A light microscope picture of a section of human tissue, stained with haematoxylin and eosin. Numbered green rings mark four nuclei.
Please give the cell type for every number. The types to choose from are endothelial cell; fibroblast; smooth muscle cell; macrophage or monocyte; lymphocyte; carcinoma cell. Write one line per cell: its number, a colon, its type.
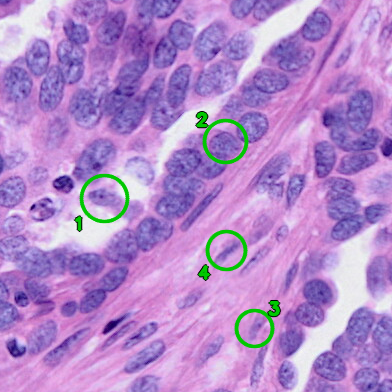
1: macrophage or monocyte
2: carcinoma cell
3: fibroblast
4: fibroblast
